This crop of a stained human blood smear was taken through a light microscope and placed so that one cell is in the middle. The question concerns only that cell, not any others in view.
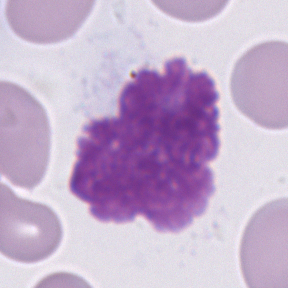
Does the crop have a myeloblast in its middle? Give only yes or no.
no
